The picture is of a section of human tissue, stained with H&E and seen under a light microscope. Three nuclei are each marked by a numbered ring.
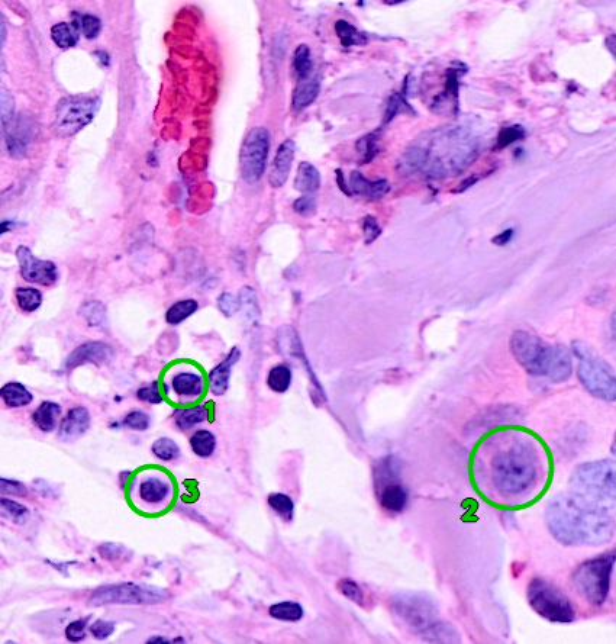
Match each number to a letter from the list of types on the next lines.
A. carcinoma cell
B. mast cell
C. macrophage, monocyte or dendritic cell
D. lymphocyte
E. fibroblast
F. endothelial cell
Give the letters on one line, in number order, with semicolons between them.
D; A; D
